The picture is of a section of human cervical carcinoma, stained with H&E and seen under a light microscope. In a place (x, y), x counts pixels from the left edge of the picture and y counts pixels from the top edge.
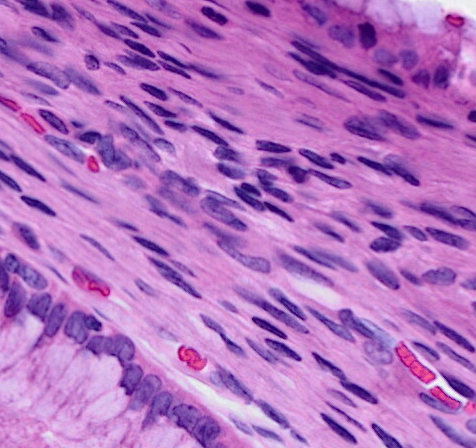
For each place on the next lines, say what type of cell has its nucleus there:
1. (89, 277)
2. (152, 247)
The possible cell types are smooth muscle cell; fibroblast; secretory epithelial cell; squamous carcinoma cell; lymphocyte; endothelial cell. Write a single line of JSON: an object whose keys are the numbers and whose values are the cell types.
{"1": "endothelial cell", "2": "fibroblast"}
